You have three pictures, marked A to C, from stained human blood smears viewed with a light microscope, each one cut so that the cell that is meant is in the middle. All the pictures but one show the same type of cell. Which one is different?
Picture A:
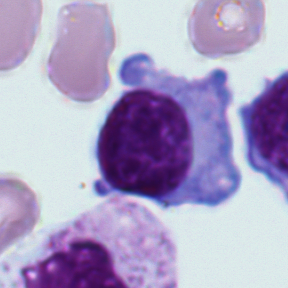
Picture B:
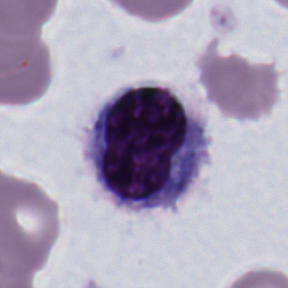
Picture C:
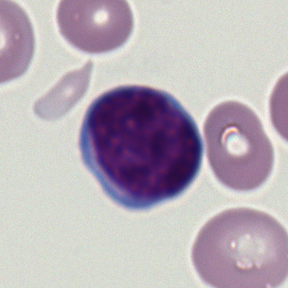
C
